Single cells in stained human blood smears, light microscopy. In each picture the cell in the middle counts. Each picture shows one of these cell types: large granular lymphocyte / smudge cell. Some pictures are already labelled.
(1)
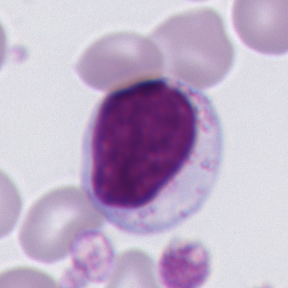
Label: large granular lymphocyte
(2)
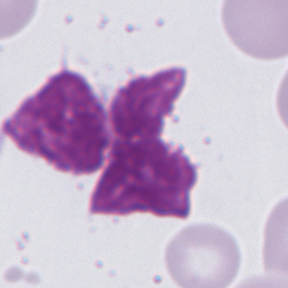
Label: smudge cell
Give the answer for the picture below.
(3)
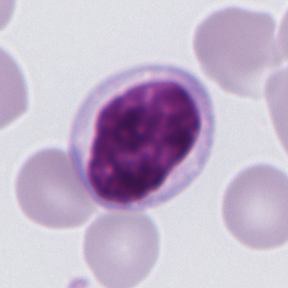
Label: large granular lymphocyte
